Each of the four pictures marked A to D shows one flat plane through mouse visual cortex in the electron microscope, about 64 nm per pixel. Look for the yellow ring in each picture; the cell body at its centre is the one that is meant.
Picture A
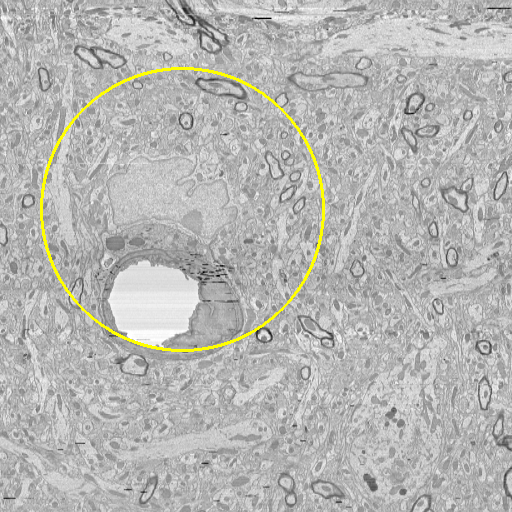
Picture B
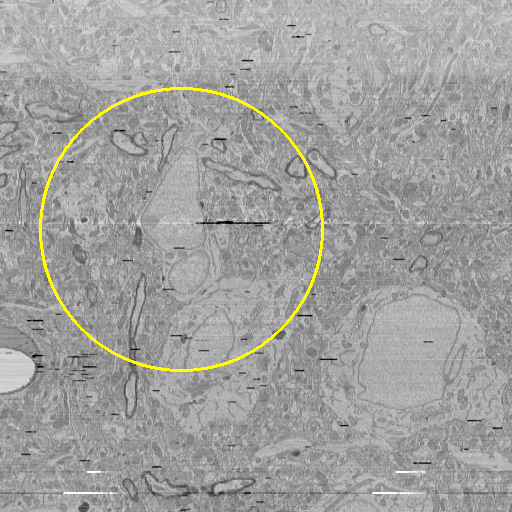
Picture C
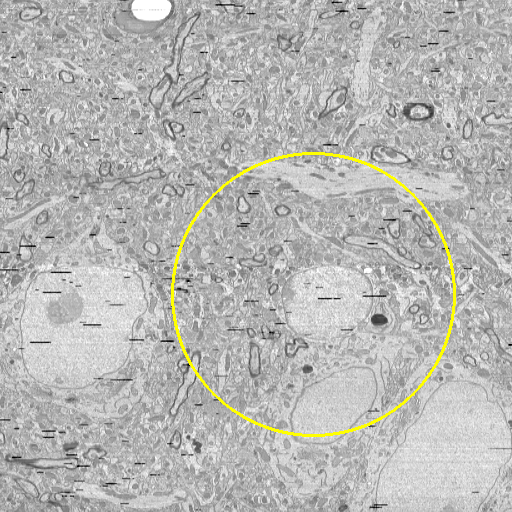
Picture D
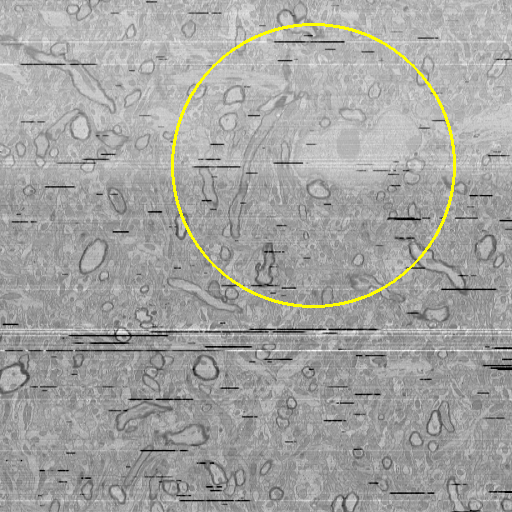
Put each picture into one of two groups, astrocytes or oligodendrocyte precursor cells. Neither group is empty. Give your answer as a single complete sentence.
Picture C shows an astrocyte, while pictures A, B and D show oligodendrocyte precursor cells.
